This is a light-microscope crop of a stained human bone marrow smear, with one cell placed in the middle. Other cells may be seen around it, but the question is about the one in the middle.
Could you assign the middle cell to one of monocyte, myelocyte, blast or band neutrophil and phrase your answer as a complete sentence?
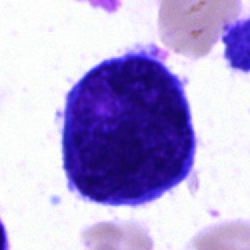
Whatever else lies nearby, the middle cell is a blast.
